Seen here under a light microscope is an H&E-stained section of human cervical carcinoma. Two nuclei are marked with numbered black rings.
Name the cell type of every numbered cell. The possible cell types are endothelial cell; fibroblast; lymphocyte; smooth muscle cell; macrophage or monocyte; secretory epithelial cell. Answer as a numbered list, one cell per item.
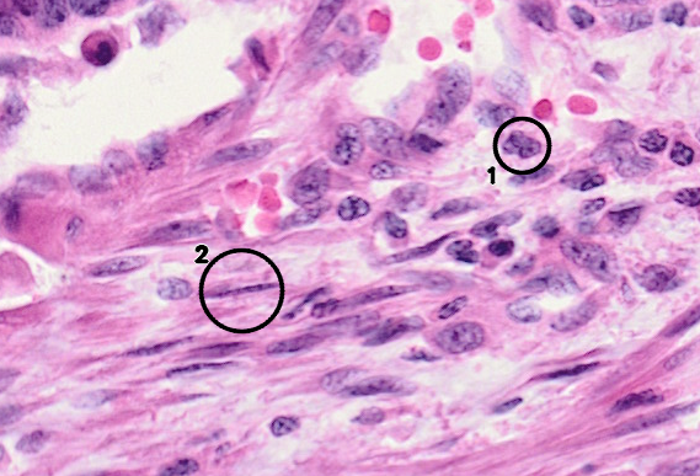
1. lymphocyte
2. fibroblast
